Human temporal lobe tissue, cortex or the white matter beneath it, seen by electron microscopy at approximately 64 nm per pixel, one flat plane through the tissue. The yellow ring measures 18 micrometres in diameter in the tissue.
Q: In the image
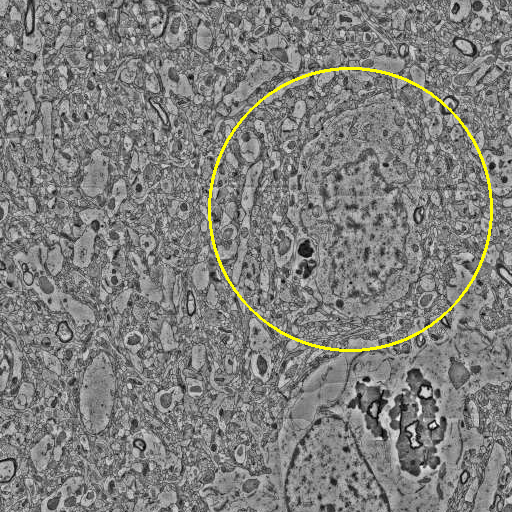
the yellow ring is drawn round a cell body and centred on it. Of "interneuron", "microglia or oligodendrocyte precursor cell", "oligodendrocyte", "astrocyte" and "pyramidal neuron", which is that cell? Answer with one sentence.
The cell centred in the ring is an interneuron.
